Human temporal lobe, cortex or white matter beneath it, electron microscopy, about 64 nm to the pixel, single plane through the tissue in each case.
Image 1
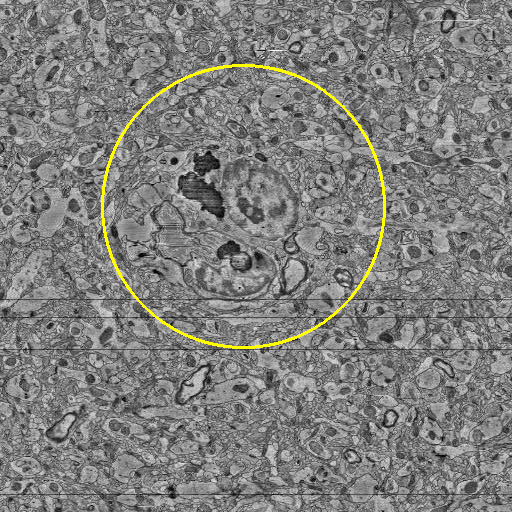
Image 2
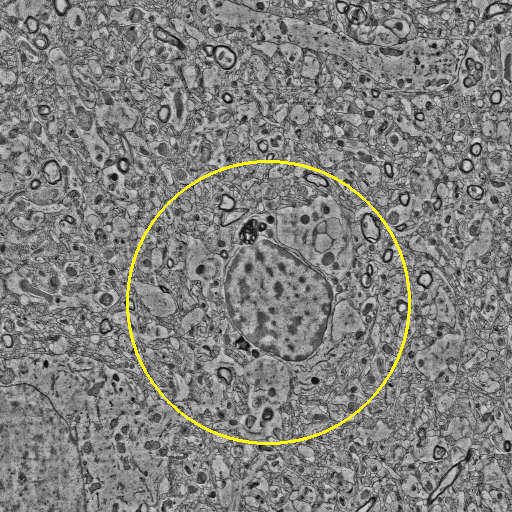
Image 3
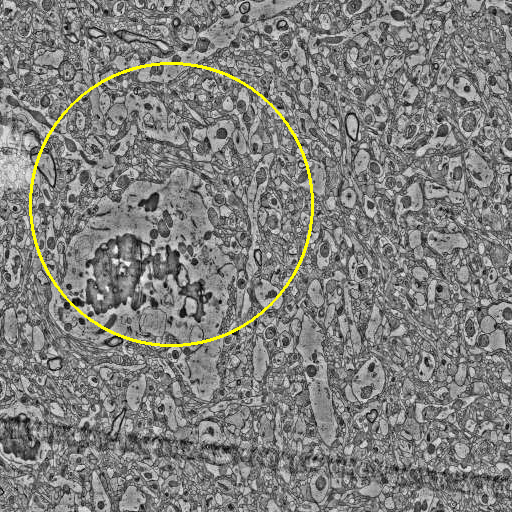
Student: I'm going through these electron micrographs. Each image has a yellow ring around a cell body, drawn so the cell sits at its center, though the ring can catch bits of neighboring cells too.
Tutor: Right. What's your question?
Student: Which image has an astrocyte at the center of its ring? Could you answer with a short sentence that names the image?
Image 3 shows it at the center of its ring.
